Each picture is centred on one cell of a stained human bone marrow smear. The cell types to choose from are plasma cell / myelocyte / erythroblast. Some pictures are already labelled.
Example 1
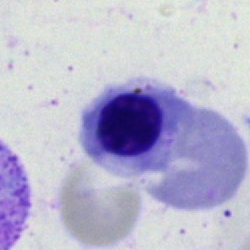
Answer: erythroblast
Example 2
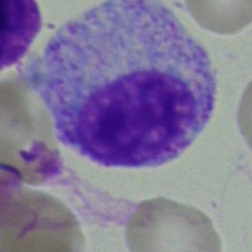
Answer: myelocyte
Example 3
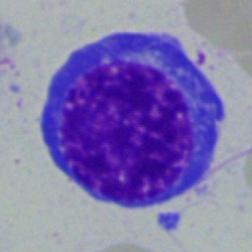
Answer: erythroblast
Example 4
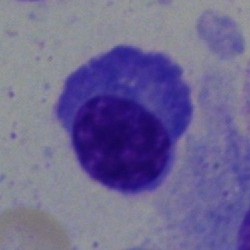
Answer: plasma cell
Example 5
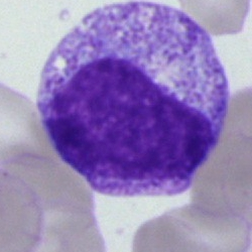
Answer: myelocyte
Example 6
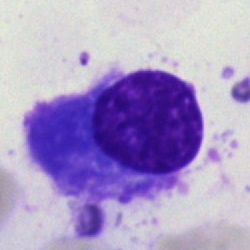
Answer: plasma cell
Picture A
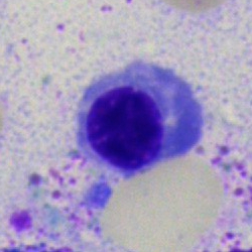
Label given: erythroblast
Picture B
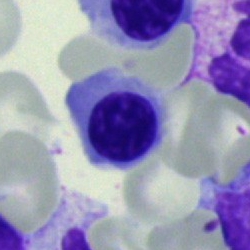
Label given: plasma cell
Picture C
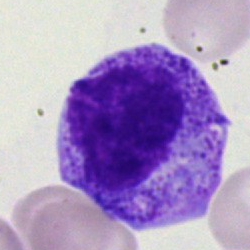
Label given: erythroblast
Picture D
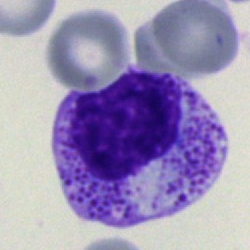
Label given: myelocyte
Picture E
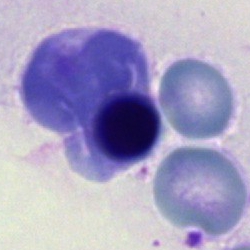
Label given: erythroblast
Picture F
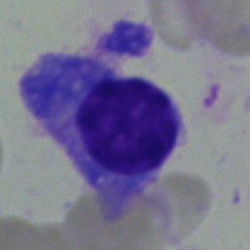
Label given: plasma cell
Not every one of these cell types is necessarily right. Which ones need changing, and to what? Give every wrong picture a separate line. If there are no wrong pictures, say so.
B: erythroblast, not plasma cell
C: myelocyte, not erythroblast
